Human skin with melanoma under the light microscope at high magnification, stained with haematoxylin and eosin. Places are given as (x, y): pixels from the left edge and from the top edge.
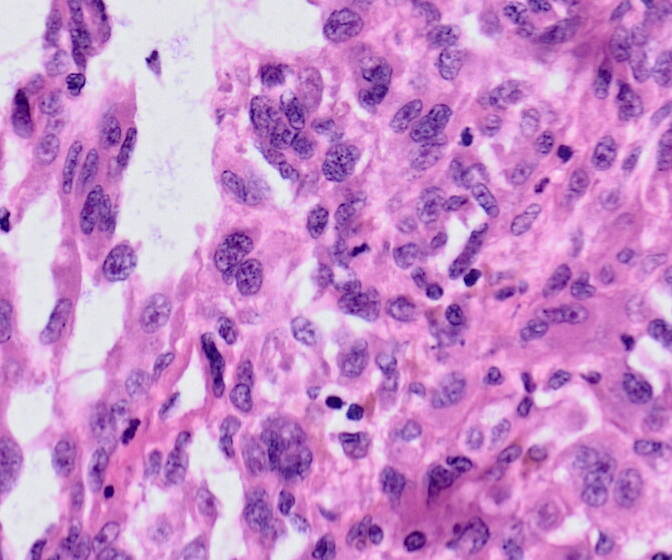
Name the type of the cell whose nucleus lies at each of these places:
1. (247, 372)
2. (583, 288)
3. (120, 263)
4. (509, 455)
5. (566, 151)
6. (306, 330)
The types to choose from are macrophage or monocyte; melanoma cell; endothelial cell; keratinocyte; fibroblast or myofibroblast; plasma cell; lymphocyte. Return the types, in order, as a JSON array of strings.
["melanoma cell", "melanoma cell", "melanoma cell", "macrophage or monocyte", "lymphocyte", "melanoma cell"]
